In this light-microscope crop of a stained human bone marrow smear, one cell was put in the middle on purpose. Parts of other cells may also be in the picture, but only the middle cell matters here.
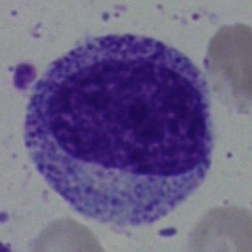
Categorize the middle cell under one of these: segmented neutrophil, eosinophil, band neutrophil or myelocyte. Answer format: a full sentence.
Whatever else lies nearby, the middle cell is a myelocyte.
